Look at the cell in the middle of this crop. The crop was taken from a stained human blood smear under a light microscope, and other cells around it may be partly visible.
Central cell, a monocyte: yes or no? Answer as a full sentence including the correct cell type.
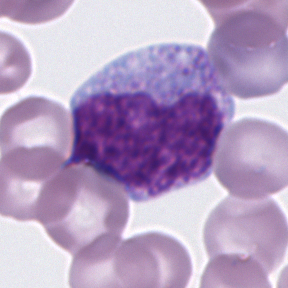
No, the centrally located cell is a myelocyte rather than a monocyte.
